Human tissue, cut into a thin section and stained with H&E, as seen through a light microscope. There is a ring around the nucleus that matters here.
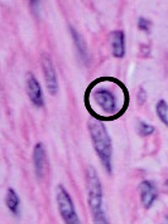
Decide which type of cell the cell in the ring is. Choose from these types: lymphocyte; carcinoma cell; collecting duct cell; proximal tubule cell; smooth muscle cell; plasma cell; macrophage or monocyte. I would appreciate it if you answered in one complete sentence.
Among the cells in this section, the cell in the ring is a smooth muscle cell.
